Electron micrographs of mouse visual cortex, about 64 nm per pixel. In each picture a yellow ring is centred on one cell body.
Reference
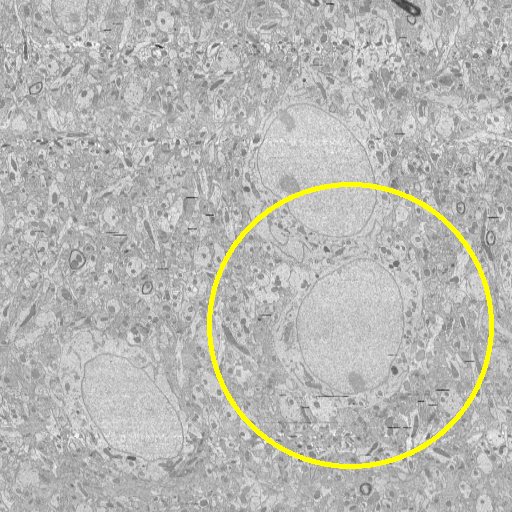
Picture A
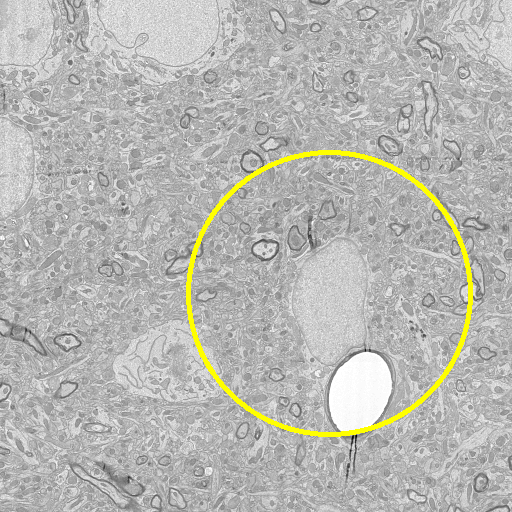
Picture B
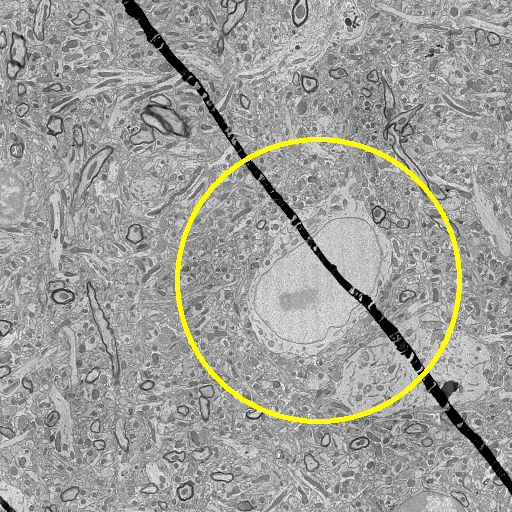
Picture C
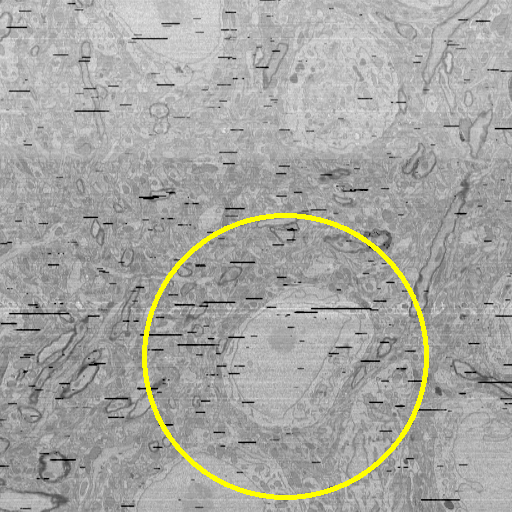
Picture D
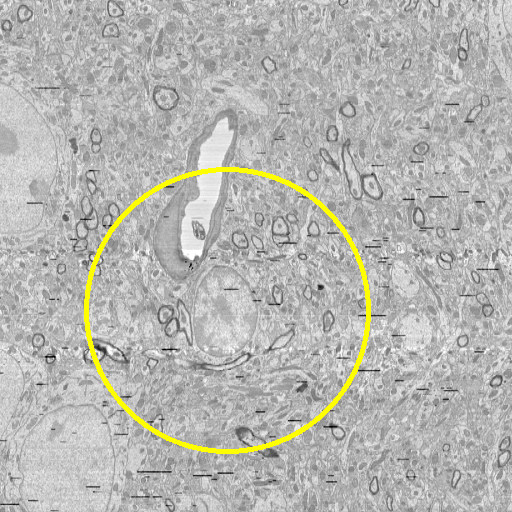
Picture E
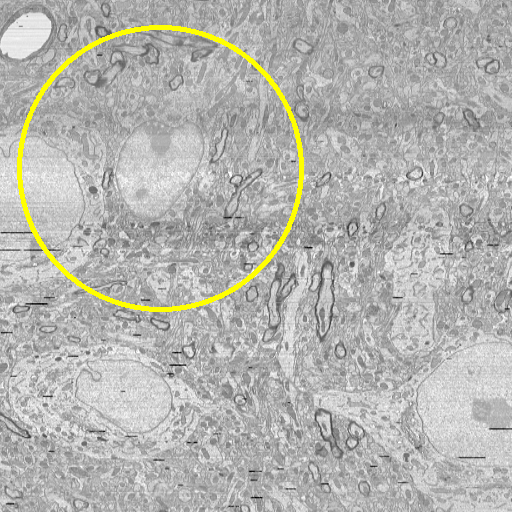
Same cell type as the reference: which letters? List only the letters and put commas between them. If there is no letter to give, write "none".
B, C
